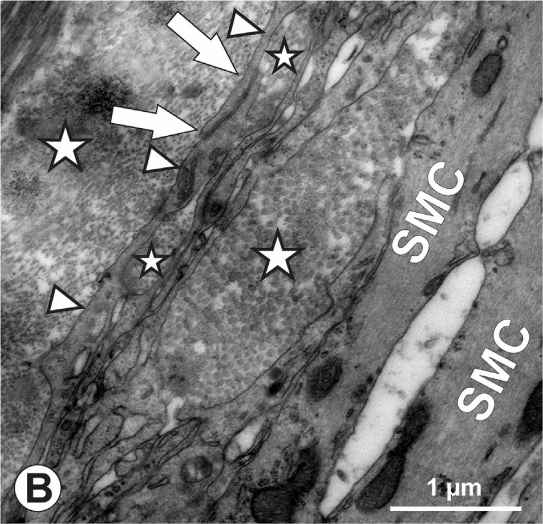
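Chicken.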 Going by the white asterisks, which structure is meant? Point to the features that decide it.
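Collagen fibrils. Fields of many tiny evenly spaced dots, fibrils cut in cross-section. Fields lie outside and between the cell lamellae.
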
